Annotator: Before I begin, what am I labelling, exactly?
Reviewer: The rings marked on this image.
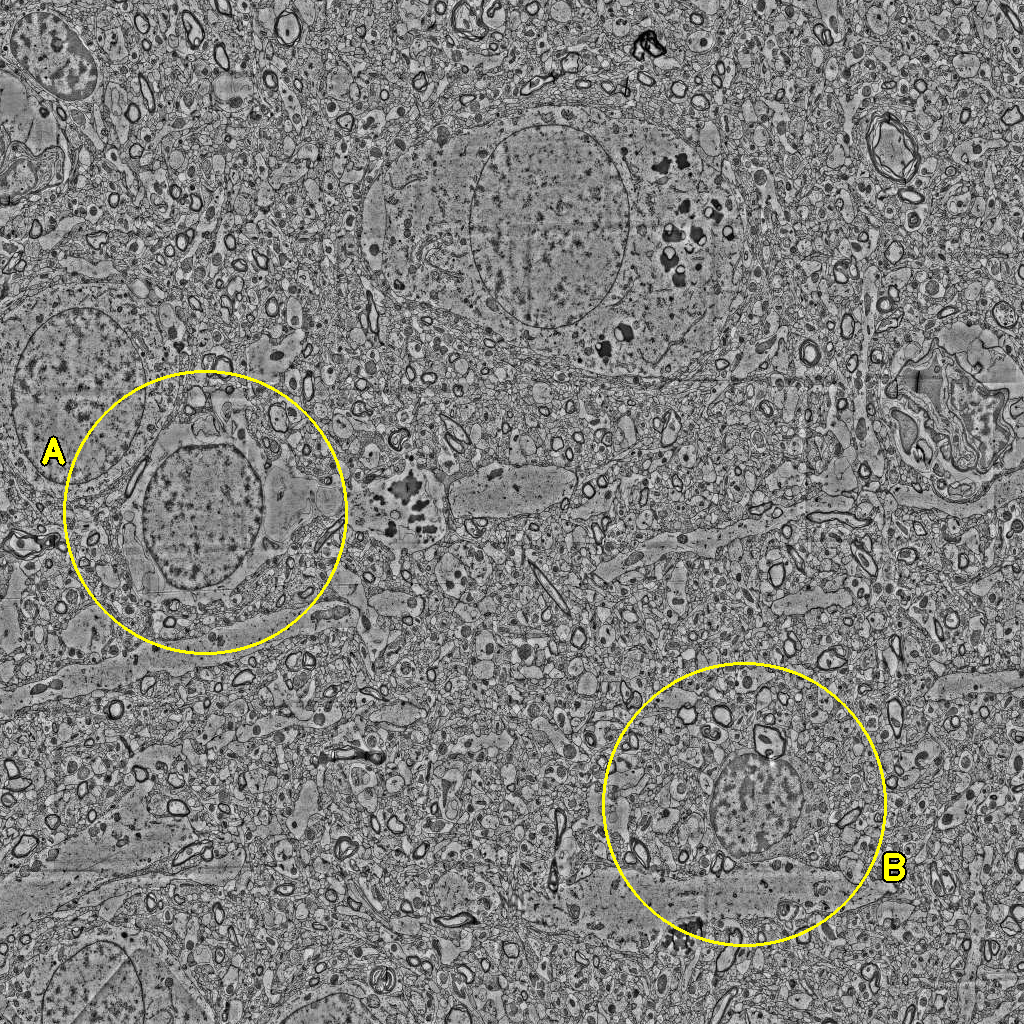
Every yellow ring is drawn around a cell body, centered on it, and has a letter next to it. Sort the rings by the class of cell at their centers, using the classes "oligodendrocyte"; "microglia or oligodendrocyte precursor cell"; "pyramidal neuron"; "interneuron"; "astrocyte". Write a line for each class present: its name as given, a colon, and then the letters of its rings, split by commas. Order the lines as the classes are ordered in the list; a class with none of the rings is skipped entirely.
oligodendrocyte: B
astrocyte: A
